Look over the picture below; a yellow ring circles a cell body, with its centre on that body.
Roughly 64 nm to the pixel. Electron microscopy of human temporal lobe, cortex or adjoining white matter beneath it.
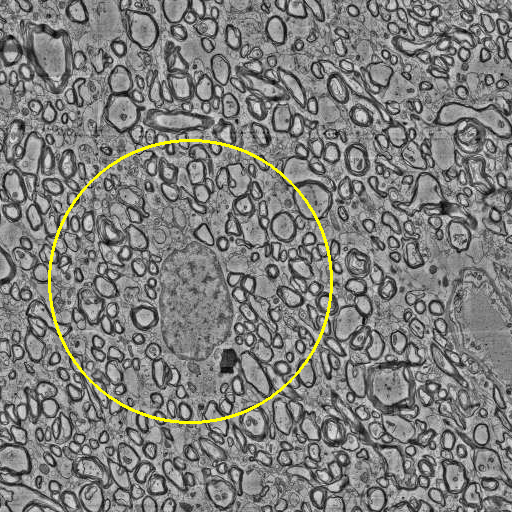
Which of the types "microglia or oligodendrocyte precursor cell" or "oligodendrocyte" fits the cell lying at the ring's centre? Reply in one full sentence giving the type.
The picture shows an oligodendrocyte at the centre of the yellow ring.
